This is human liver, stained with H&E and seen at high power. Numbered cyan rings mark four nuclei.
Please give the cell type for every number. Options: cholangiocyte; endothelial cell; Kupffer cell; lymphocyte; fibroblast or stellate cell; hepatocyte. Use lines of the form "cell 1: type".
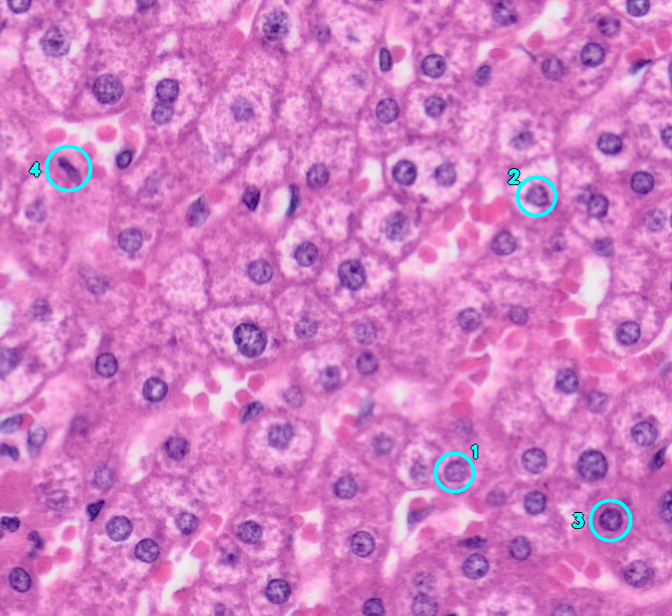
cell 1: hepatocyte
cell 2: hepatocyte
cell 3: hepatocyte
cell 4: fibroblast or stellate cell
